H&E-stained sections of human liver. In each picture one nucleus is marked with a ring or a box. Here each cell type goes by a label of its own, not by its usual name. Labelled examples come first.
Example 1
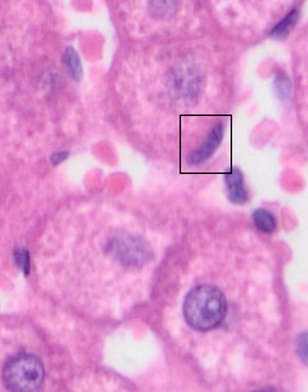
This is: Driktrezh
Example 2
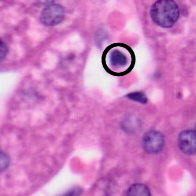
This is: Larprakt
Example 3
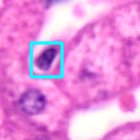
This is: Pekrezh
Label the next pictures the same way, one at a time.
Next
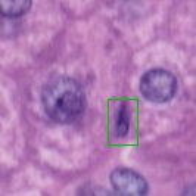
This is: Driktrezh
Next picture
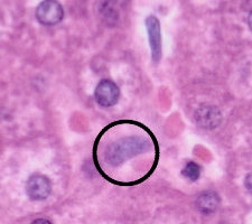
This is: Pekrezh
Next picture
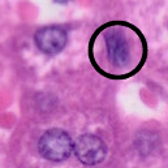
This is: Driktrezh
